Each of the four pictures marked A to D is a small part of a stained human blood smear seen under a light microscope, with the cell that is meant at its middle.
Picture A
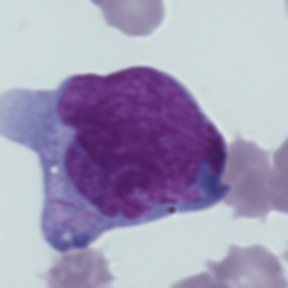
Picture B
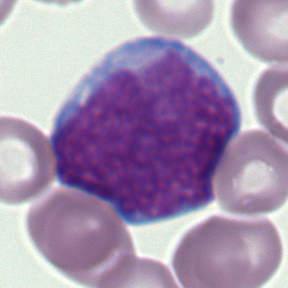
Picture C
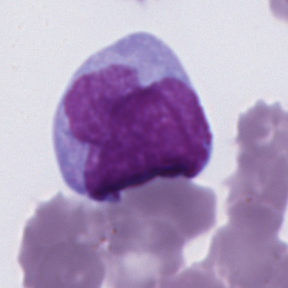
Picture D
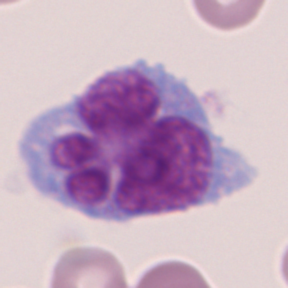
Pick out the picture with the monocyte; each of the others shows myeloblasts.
D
